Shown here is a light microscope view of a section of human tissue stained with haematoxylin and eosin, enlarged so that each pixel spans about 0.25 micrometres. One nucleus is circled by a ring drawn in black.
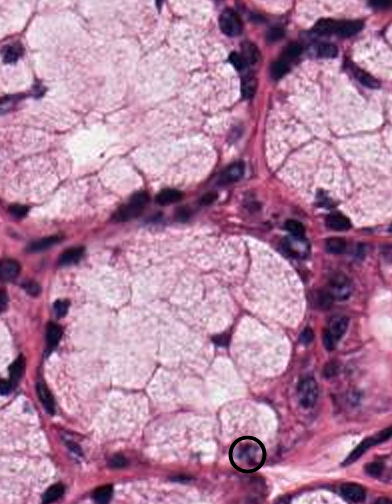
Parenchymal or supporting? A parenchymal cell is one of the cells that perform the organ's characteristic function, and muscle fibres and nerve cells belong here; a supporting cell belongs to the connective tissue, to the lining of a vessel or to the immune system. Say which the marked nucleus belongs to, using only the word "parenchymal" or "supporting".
parenchymal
